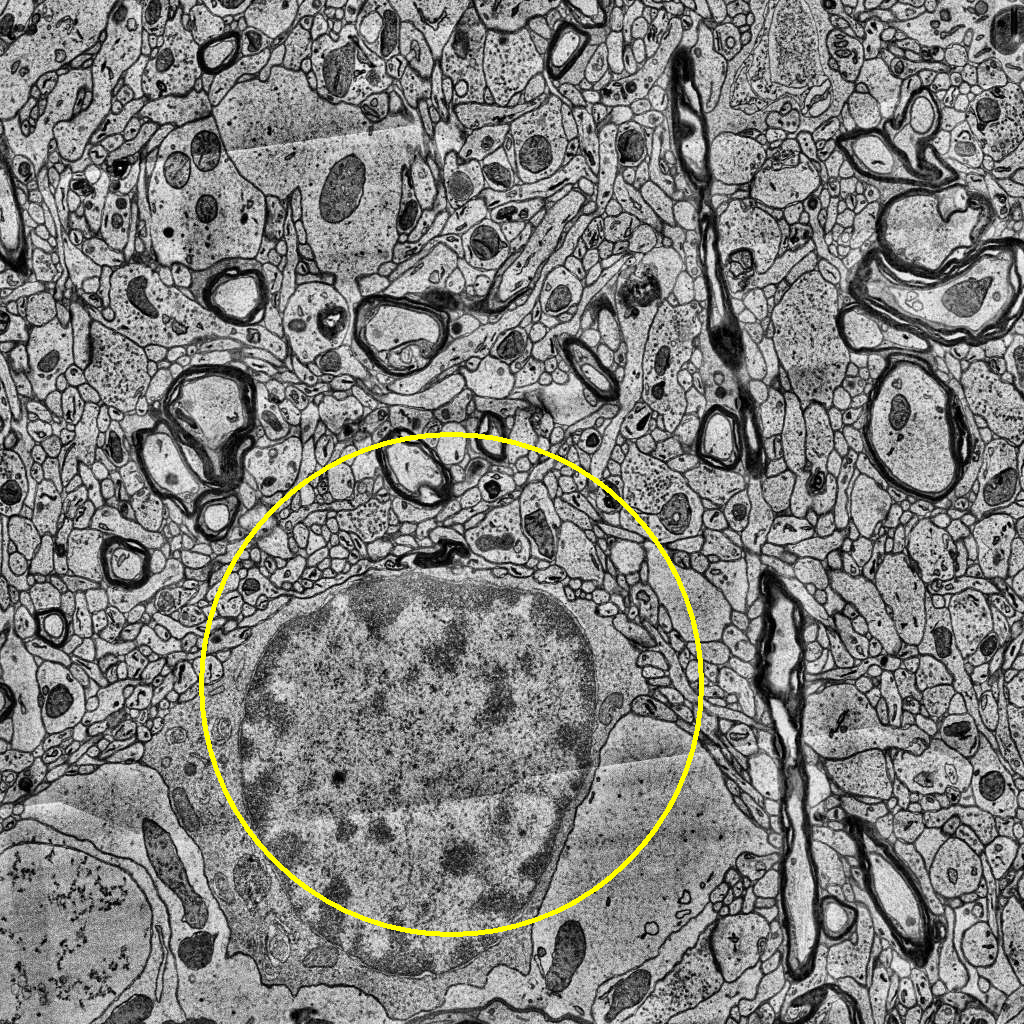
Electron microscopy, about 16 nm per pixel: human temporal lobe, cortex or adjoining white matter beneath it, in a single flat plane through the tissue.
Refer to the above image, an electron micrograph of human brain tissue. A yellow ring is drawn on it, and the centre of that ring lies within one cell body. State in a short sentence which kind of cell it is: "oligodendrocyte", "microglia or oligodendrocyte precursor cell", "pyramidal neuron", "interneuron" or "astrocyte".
The centre of the ring falls on an oligodendrocyte.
